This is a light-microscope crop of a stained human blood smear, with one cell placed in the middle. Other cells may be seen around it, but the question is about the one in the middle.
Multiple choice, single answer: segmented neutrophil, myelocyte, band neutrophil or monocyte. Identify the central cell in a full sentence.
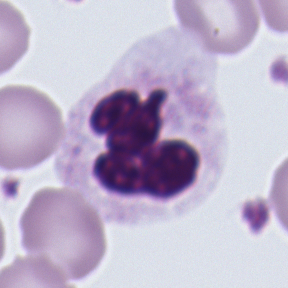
To answer, the cell in the center of the crop is a segmented neutrophil.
